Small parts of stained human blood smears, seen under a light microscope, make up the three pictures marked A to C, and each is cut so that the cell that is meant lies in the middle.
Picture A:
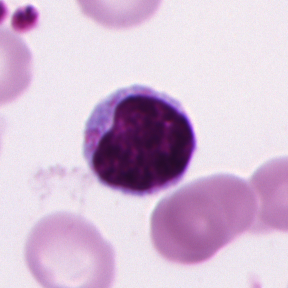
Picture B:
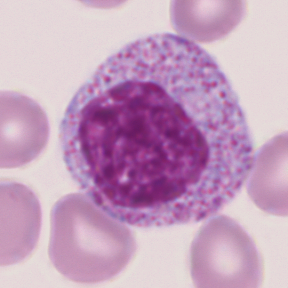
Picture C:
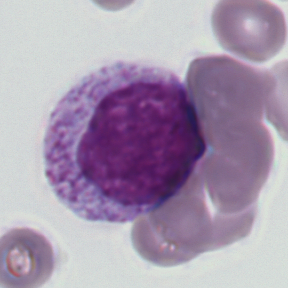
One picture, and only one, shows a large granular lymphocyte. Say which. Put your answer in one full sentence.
Picture A is the one that shows the large granular lymphocyte.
